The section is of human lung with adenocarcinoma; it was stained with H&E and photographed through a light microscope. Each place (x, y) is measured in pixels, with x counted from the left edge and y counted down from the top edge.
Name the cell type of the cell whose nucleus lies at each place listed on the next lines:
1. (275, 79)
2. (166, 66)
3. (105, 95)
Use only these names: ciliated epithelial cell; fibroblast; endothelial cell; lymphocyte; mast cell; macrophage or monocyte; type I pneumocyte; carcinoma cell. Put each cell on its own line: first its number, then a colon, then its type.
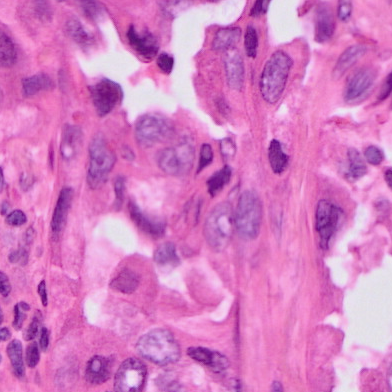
1: carcinoma cell
2: lymphocyte
3: carcinoma cell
